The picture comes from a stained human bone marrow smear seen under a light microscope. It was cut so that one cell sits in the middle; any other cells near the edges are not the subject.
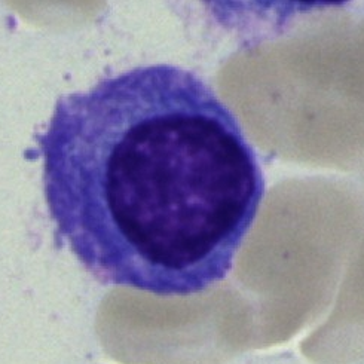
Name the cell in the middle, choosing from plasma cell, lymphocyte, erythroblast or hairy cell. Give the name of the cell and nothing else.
plasma cell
